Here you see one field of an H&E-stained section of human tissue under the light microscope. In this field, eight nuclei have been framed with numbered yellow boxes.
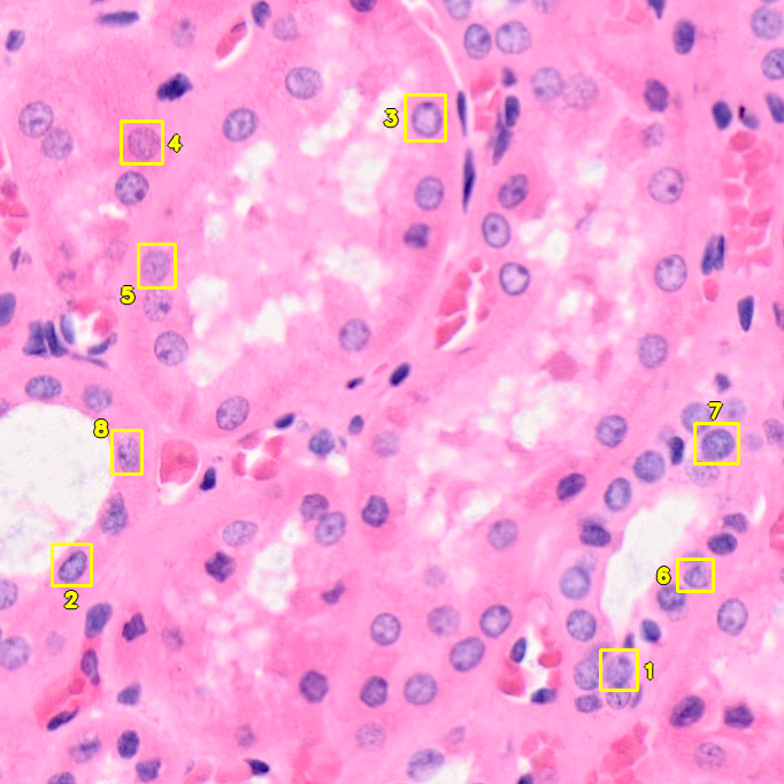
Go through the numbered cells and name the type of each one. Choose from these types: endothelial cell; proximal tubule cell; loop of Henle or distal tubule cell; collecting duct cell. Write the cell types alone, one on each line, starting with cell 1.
collecting duct cell
loop of Henle or distal tubule cell
proximal tubule cell
proximal tubule cell
proximal tubule cell
collecting duct cell
collecting duct cell
loop of Henle or distal tubule cell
